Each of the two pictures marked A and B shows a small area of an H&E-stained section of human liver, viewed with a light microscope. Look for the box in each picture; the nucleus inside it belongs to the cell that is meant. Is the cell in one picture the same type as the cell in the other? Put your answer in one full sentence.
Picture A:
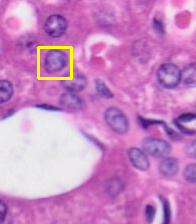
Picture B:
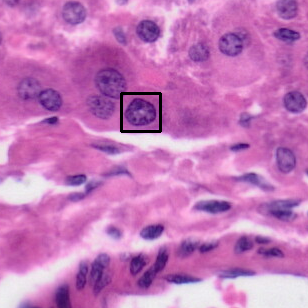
No, picture A shows a cholangiocyte and picture B shows a hepatocyte.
